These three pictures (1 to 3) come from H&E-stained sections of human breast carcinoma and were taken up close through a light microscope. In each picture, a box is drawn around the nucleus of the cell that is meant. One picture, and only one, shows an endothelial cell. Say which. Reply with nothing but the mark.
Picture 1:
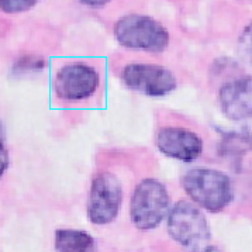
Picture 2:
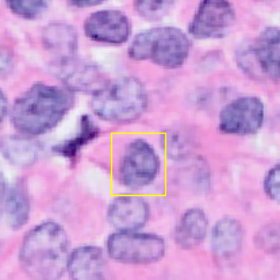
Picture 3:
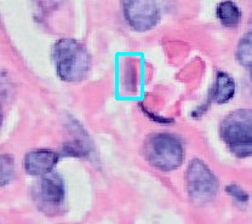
3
